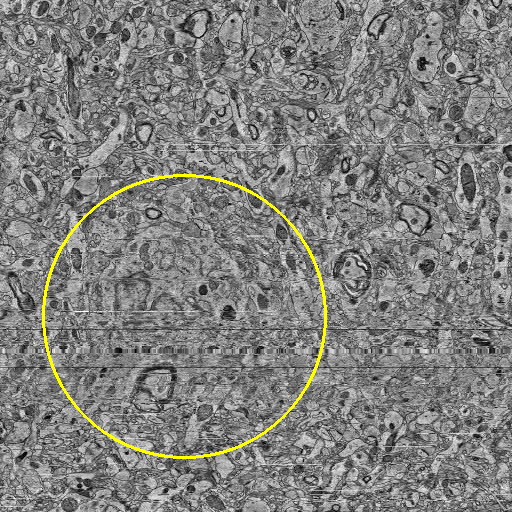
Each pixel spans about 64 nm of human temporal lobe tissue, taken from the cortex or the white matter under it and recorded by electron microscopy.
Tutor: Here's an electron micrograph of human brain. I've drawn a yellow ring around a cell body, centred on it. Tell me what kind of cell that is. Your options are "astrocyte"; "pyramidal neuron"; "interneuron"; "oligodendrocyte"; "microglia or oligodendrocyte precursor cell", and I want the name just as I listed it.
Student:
interneuron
